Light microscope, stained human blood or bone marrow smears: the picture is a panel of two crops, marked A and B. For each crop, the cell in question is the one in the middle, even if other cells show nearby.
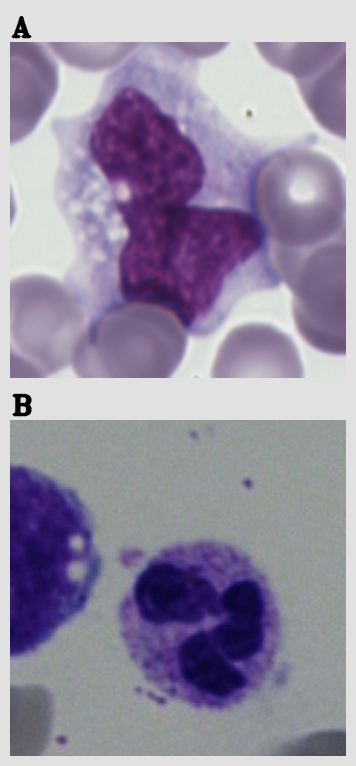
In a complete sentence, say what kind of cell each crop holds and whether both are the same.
No, a monocyte is in crop A, and a segmented neutrophil is in crop B.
